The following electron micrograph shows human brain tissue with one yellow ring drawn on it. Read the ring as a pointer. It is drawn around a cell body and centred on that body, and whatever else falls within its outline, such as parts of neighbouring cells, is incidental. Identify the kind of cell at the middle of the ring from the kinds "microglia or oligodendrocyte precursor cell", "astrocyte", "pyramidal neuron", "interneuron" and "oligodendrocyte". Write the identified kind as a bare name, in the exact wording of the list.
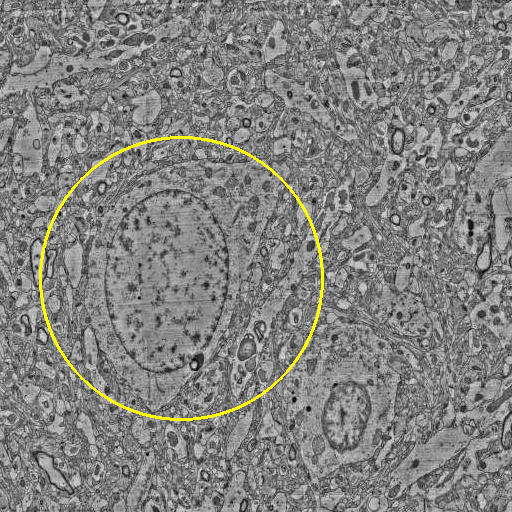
pyramidal neuron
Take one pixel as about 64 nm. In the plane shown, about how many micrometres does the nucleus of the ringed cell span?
In this plane, approximately 12 by 8 micrometers.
